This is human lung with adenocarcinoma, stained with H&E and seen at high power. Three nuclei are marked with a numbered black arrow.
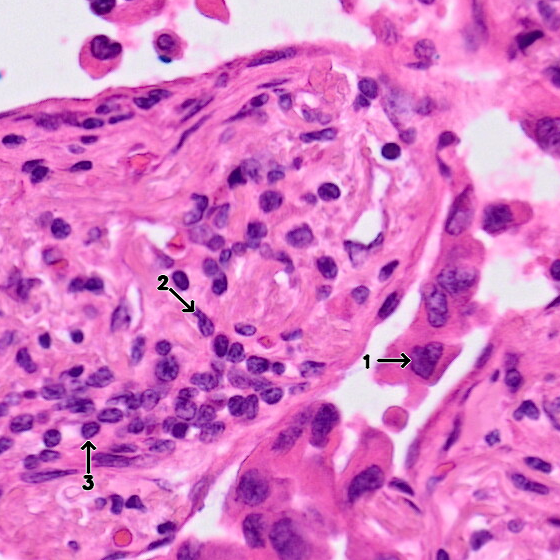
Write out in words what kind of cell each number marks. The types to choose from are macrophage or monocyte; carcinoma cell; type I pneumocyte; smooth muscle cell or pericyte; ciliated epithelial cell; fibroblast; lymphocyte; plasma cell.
Cell 1 is a carcinoma cell. Cells 2 and 3 are lymphocytes.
